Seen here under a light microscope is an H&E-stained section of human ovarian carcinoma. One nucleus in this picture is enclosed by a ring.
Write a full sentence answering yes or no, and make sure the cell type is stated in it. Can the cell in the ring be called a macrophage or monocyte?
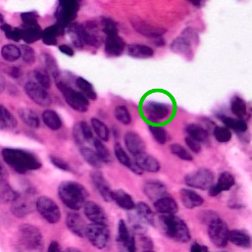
No, in this section the cell in the ring is a carcinoma cell and not a macrophage or monocyte.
